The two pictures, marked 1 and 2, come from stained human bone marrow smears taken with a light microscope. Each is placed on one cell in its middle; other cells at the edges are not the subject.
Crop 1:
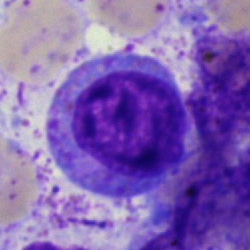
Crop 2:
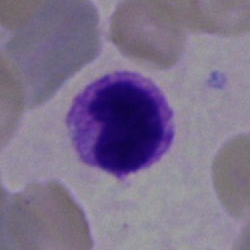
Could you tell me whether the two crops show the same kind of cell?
no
